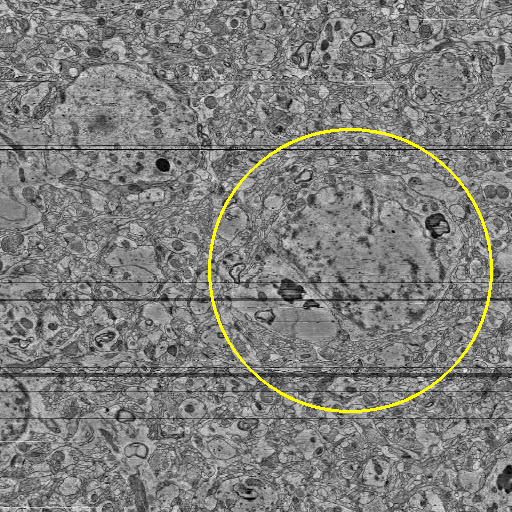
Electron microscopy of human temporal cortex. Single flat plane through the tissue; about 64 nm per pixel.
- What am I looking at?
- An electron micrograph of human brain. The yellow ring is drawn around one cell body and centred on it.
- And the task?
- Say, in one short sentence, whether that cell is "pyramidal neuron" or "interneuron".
The cell in the middle of the ring is an interneuron.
